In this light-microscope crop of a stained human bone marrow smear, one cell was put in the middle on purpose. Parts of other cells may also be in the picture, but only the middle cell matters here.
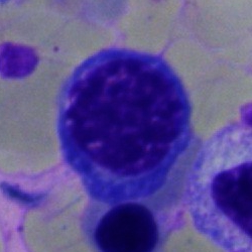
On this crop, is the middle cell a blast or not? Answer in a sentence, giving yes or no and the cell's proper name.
No, the cell at the centre of the crop corresponds to a normoblast, not a blast.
